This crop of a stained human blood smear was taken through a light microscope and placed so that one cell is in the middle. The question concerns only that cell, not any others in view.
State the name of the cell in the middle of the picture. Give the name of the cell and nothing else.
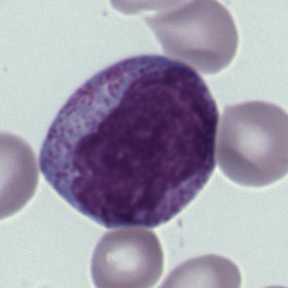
promyelocyte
